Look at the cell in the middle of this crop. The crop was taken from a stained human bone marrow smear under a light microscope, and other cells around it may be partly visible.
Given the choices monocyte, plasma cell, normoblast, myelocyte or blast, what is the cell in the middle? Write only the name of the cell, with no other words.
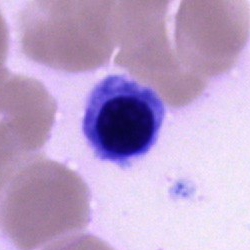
normoblast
